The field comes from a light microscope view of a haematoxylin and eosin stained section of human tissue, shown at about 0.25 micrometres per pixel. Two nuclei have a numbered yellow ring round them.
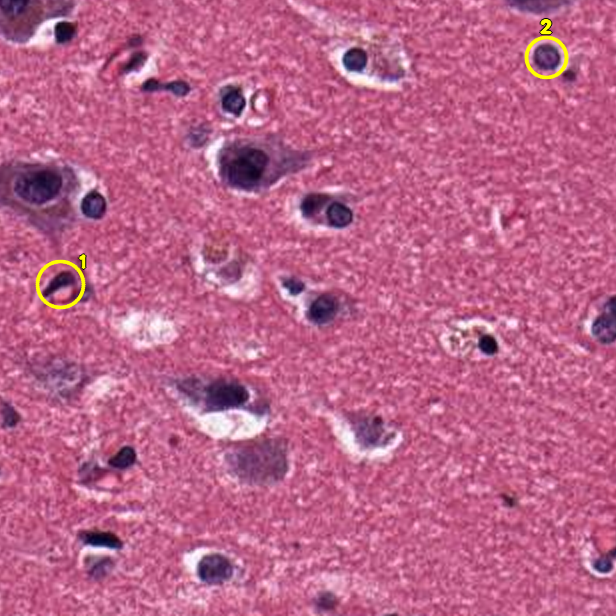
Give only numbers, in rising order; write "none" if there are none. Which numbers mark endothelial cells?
1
